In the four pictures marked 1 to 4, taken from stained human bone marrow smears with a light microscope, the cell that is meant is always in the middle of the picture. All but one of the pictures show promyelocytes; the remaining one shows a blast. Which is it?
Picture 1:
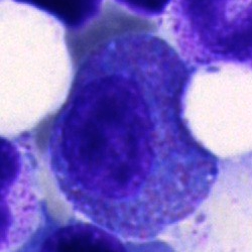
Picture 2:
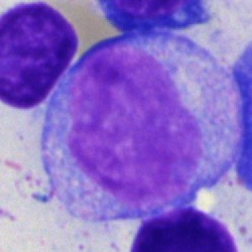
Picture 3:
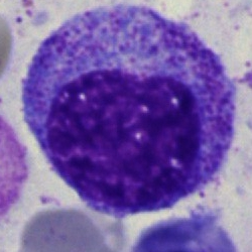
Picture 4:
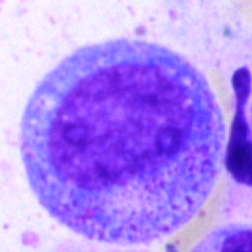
2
